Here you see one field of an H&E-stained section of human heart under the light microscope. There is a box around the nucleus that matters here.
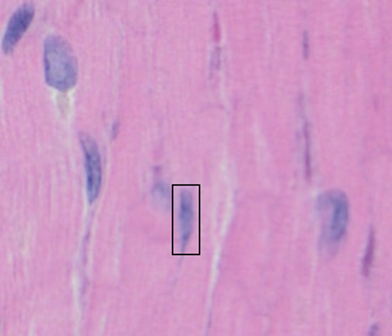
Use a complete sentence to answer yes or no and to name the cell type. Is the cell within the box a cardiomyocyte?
No, within this section, the cell within the box is categorized as a fibroblast rather than a cardiomyocyte.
